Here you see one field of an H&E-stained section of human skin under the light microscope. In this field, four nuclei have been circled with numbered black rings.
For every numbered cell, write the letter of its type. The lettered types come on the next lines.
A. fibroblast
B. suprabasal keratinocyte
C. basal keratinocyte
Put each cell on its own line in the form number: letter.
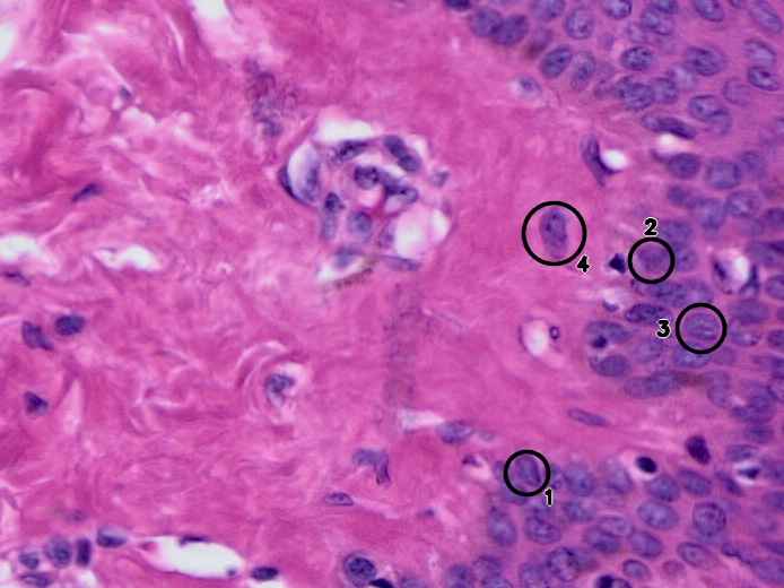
1: C
2: C
3: B
4: A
